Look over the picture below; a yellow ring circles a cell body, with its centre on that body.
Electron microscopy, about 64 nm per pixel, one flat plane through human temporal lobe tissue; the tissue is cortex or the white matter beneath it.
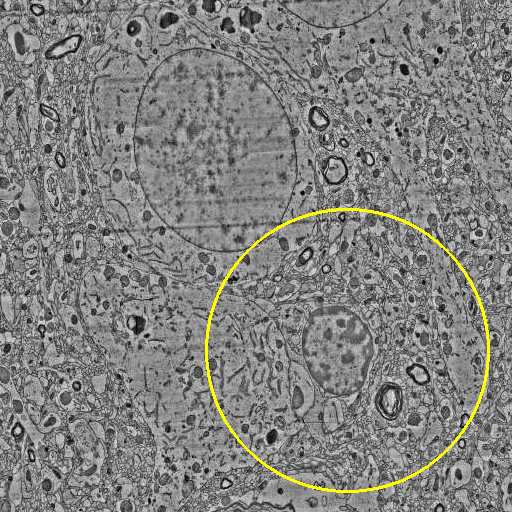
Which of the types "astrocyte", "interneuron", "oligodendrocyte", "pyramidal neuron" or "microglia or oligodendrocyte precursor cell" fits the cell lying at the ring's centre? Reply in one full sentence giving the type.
The picture shows a microglial cell or oligodendrocyte precursor cell at the centre of the yellow ring.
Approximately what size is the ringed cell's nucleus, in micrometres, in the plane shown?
Roughly 6 by 5 micrometres is the size of the nucleus in this plane.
